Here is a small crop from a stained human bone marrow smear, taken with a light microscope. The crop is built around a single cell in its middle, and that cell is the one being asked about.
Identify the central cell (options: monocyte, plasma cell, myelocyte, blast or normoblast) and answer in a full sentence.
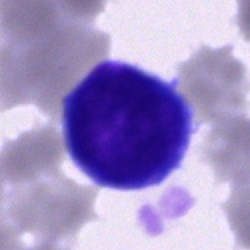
The cell centered in this field of view is a blast.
